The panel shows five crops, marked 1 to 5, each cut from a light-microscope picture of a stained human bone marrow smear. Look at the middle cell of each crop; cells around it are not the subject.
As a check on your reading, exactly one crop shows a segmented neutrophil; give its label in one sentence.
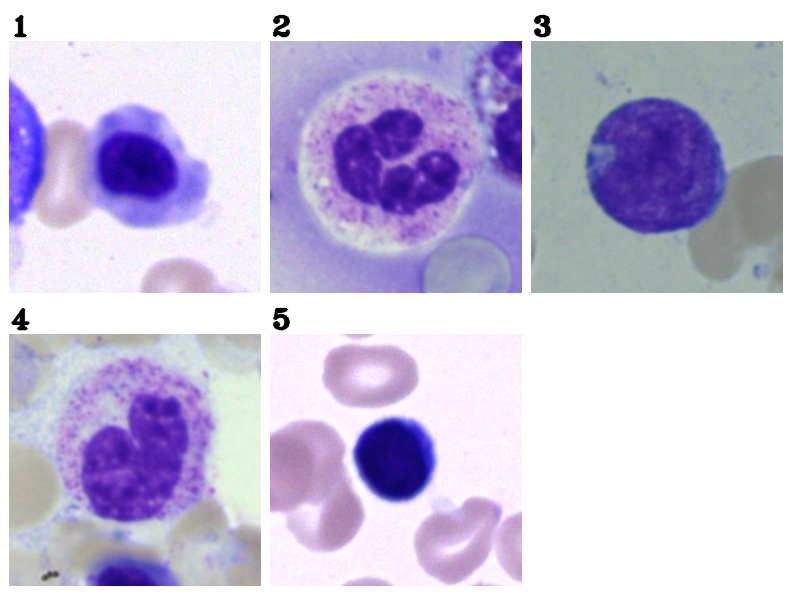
Crop 2 is the crop that shows a segmented neutrophil in its middle.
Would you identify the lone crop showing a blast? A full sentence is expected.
On review of the set, crop 3 is the one showing a blast.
